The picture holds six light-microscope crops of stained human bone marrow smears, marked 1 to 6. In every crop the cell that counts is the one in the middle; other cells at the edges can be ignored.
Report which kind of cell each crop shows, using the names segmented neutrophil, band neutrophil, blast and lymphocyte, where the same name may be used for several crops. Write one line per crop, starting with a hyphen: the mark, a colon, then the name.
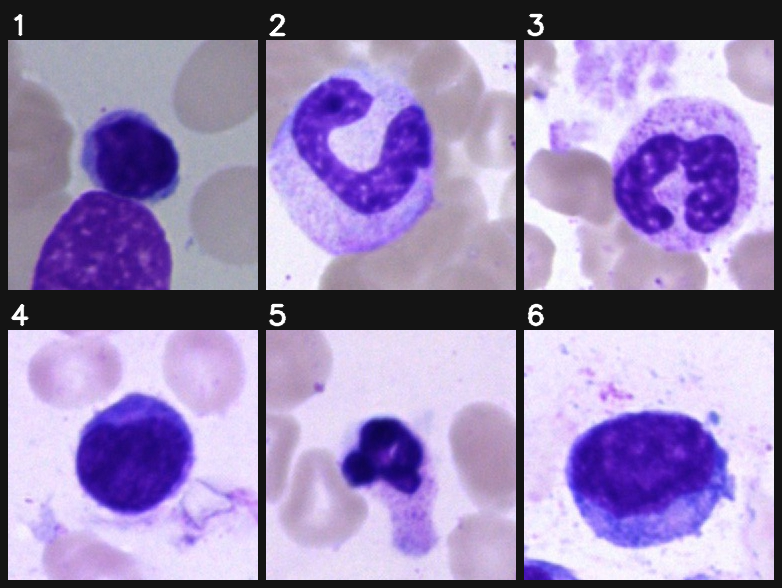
- 1: lymphocyte
- 2: band neutrophil
- 3: segmented neutrophil
- 4: lymphocyte
- 5: segmented neutrophil
- 6: blast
